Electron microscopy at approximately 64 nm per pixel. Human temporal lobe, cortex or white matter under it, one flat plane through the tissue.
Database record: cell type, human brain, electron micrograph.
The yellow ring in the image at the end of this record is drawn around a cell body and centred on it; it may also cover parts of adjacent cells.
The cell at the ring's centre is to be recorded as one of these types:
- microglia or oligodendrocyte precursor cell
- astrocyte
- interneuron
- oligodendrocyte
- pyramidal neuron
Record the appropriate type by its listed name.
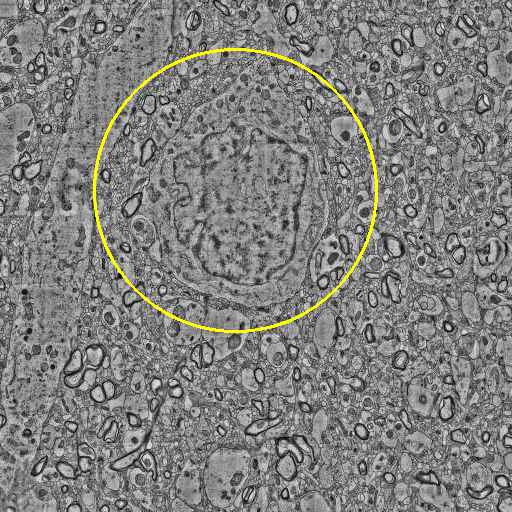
interneuron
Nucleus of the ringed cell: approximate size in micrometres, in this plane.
Approximately 10 micrometres across in this plane.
